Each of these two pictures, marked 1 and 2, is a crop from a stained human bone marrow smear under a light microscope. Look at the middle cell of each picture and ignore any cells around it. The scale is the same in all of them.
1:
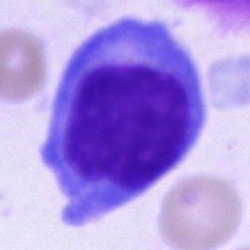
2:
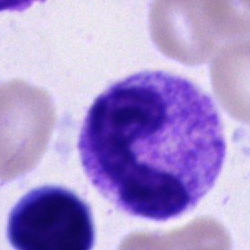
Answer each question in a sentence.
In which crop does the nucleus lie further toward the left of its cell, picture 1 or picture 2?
In picture 2 the nucleus is shifted more toward the left.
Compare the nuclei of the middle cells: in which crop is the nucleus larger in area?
It is the nucleus in picture 1, about 1.5 times as large in area as the one in picture 2.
